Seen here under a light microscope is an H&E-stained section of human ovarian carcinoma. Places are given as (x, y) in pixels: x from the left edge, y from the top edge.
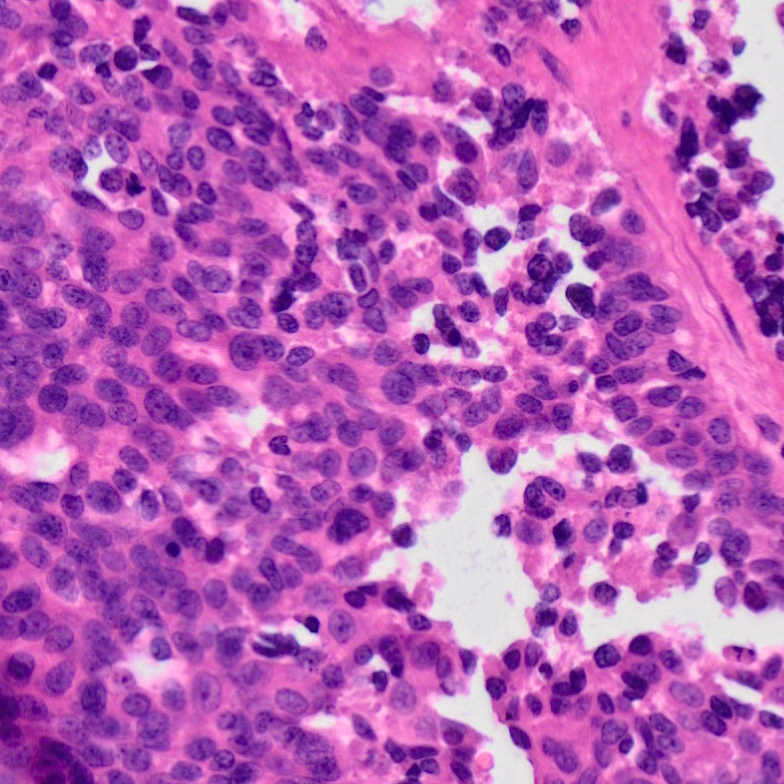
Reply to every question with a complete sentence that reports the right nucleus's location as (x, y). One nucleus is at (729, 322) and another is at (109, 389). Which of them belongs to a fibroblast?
Among the two nuclei, the one lying at (729, 322) is part of a fibroblast.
